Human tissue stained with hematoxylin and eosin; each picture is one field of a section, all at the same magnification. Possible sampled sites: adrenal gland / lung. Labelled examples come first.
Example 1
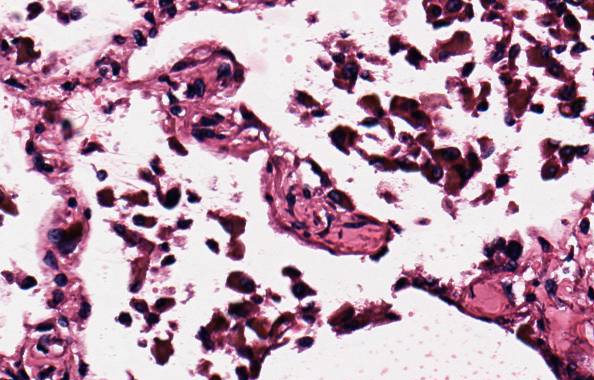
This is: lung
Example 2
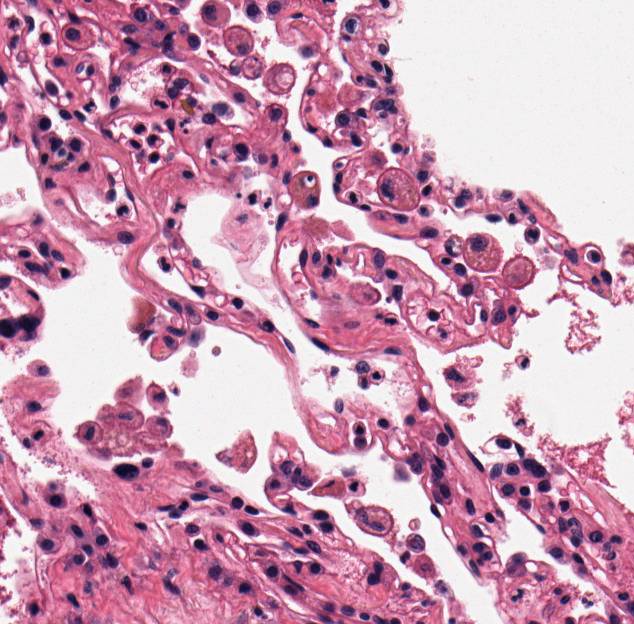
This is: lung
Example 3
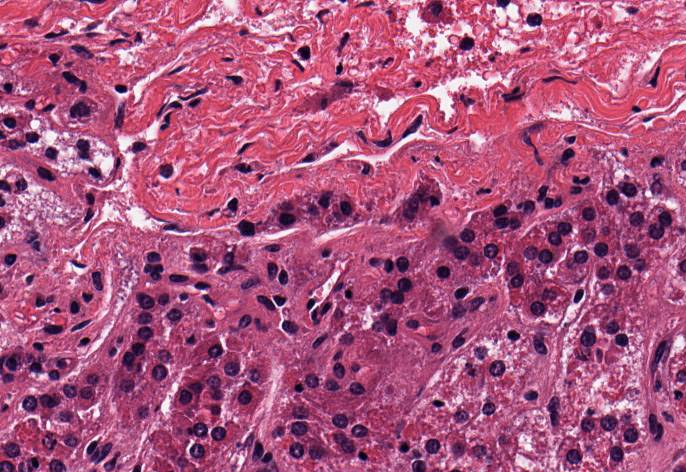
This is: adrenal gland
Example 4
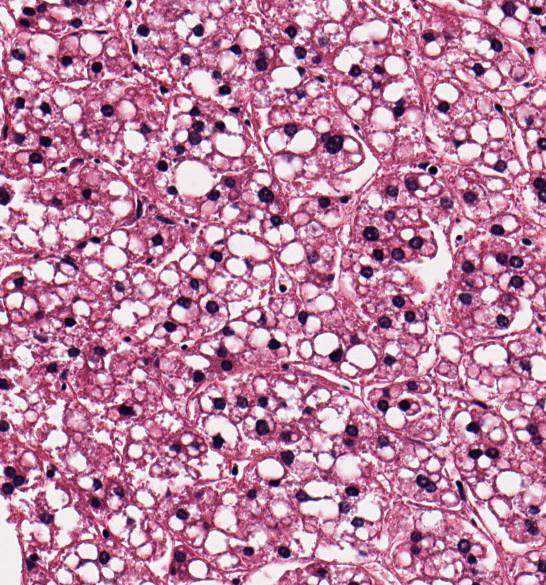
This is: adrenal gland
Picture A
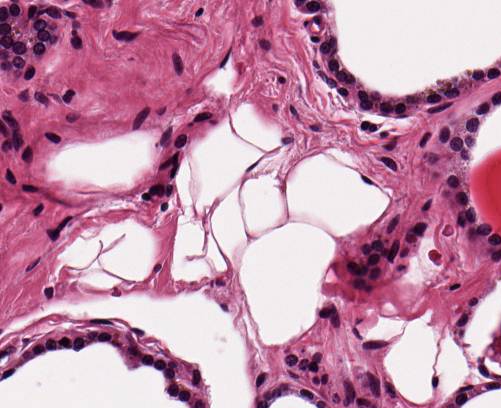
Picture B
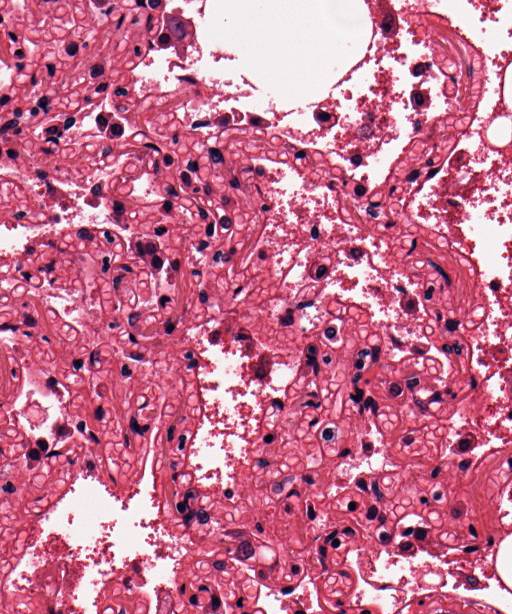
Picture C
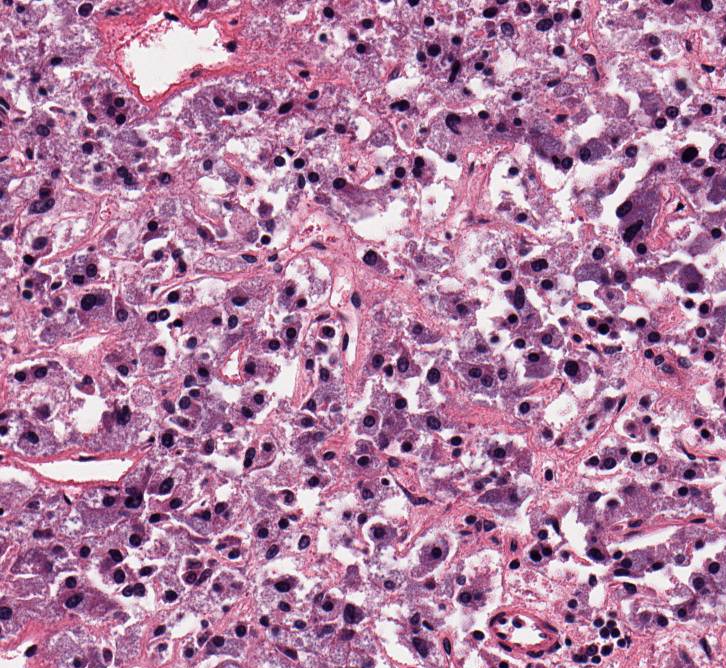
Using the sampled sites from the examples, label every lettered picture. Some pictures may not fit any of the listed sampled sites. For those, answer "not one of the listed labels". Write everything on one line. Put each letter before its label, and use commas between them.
A not one of the listed labels, B lung, C adrenal gland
